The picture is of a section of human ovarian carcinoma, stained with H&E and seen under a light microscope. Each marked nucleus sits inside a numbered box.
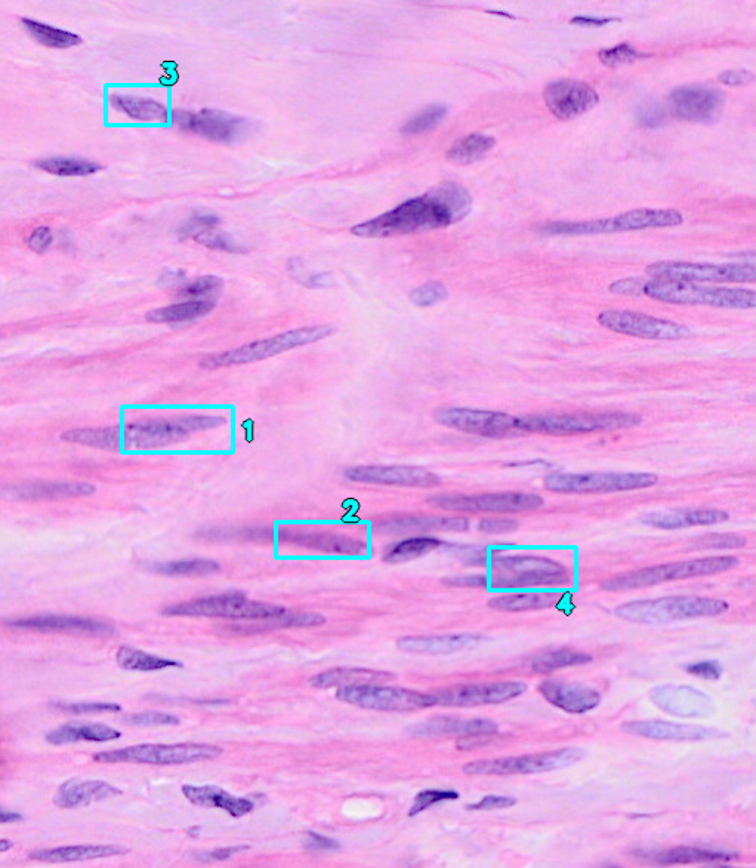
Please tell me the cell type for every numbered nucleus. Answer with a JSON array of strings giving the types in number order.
["smooth muscle cell", "smooth muscle cell", "fibroblast", "smooth muscle cell"]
